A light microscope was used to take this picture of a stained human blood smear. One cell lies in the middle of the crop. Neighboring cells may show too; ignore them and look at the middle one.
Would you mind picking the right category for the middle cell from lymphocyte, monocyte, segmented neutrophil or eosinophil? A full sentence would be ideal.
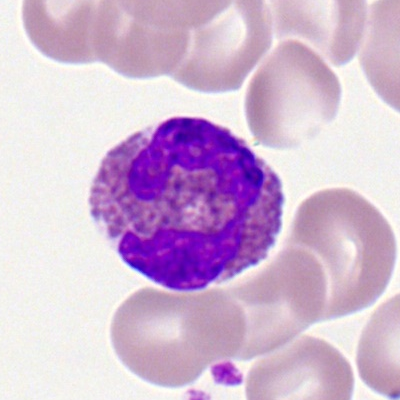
What the crop centres on is an eosinophil.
